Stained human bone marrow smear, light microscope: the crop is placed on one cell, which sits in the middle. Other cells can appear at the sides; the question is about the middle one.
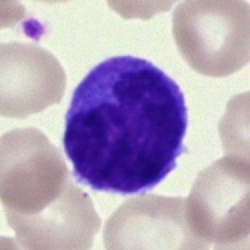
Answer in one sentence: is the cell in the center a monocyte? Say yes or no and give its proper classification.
Yes, the cell in the middle has the identity of a monocyte.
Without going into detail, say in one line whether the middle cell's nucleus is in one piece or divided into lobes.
The nucleus is one compact mass, round, oval or kidney-shaped in outline.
